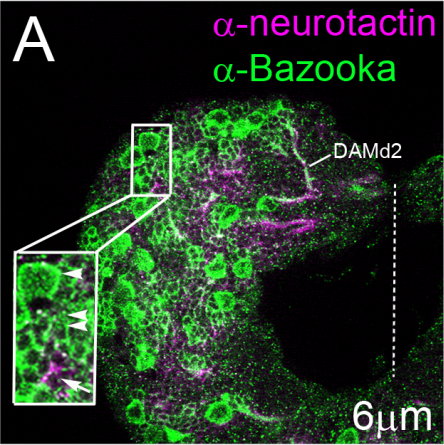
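This optical section of the larval brain shows neural lineages, each made of a large neuroblast with smaller progeny beside it, outlined in green. Large round cells with bright green rims are scattered through the outer part of the brain, standing out against smaller cells. The magnified inset shows one such lineage: a large cell at the top, with a stack of smaller round cells below it. Thin magenta and whitish bundles run inward from these clusters toward the centre of the brain. A dashed vertical line marks the midline at the right edge.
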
